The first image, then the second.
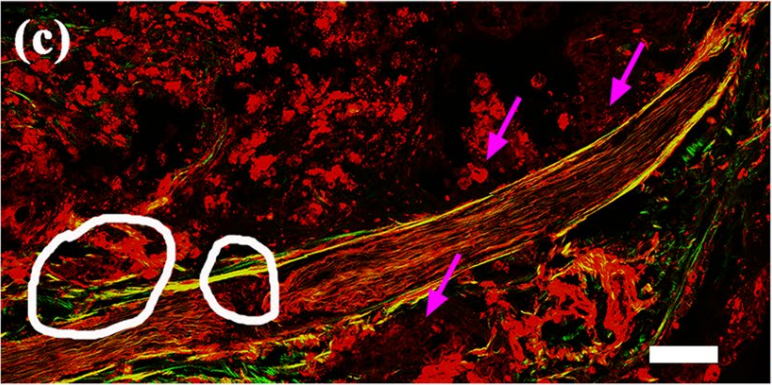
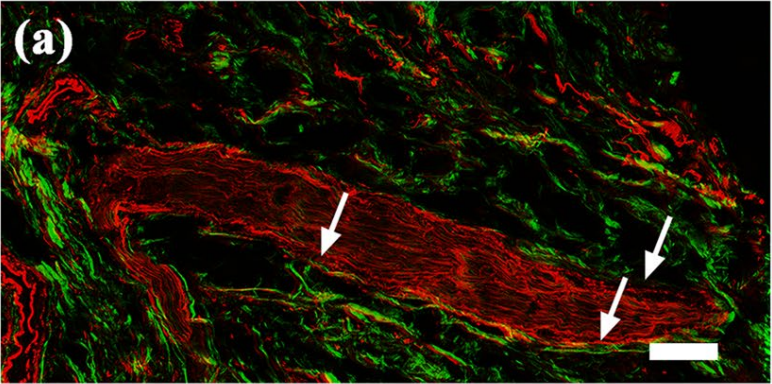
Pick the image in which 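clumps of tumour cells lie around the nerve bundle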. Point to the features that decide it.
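First image: many irregular red clumps of cells fill the tissue beside the fibre bundle. Second image: the tissue beside the bundle shows only fibres, no cell clumps.
The first image.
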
